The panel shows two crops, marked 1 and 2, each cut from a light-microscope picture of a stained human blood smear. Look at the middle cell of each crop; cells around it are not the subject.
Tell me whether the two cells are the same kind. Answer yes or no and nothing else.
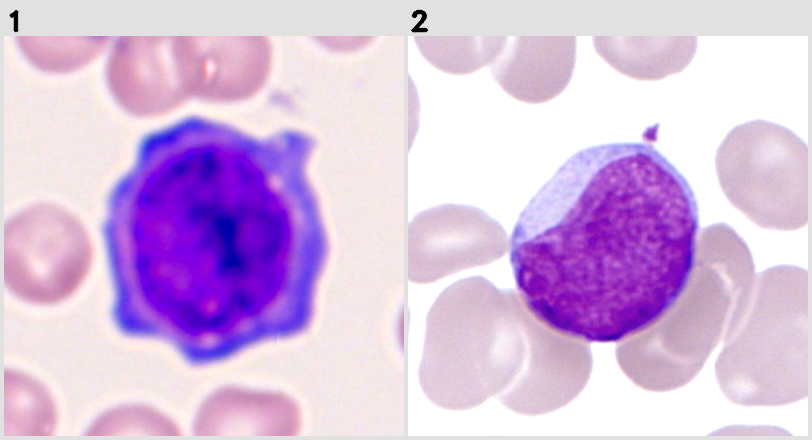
yes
